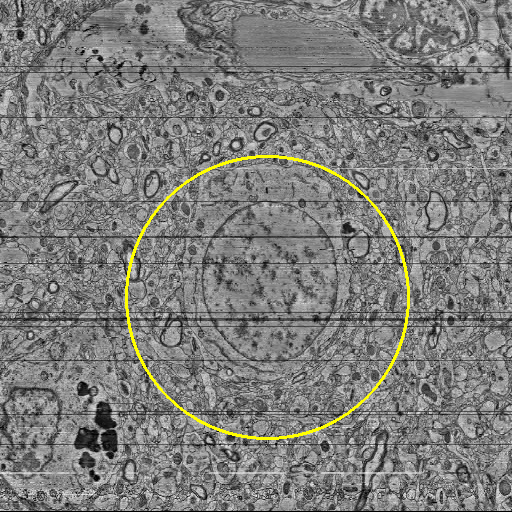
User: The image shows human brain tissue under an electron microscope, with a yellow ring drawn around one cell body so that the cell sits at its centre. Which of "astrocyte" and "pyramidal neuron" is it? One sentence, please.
At the centre of the ring sits a pyramidal neuron.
